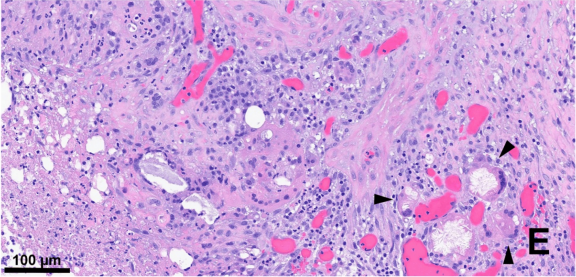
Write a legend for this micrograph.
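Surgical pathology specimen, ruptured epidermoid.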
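Inflamed cyst wall tissue with multinucleated giant cells among sheets of macrophages. The field is densely cellular, with many small rounded cells with pale pink cytoplasm and round to oval nuclei, mixed with scattered small dark inflammatory cells. Numerous bright red, irregular vascular channels filled with red blood cells run through the tissue. At the left the tissue becomes paler and vacuolated with small clear spaces, and pink fibrous strands cross the middle of the field.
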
